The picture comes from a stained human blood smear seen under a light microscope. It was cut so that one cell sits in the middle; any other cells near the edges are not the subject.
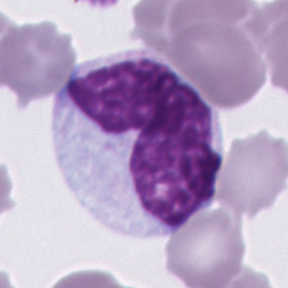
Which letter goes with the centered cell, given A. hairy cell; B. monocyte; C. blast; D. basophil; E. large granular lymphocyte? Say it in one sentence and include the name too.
Option B, which names the central cell as a monocyte, is correct.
